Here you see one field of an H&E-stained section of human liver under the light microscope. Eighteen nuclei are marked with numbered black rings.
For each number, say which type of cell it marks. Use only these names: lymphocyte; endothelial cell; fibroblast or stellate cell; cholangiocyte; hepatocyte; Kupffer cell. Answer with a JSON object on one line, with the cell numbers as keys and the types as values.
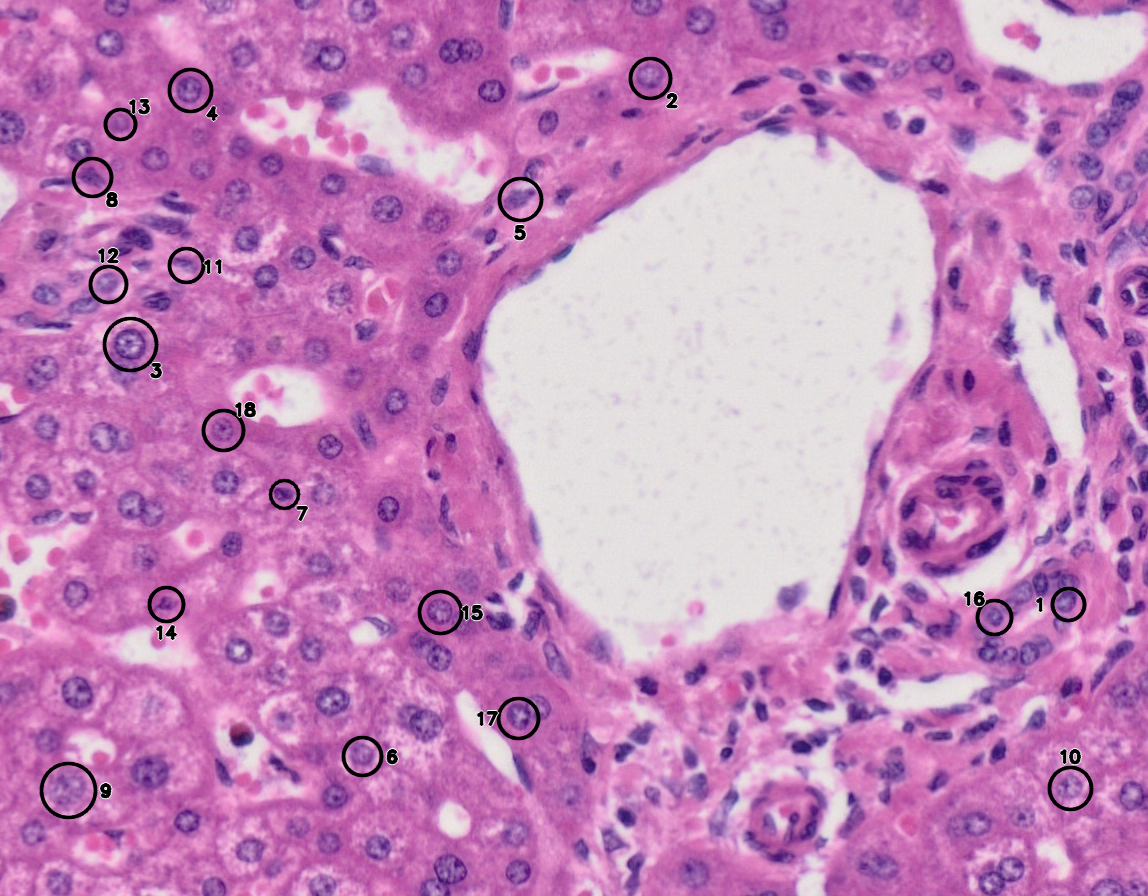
{"1": "cholangiocyte", "2": "hepatocyte", "3": "hepatocyte", "4": "hepatocyte", "5": "fibroblast or stellate cell", "6": "hepatocyte", "7": "fibroblast or stellate cell", "8": "fibroblast or stellate cell", "9": "hepatocyte", "10": "hepatocyte", "11": "fibroblast or stellate cell", "12": "cholangiocyte", "13": "hepatocyte", "14": "fibroblast or stellate cell", "15": "hepatocyte", "16": "cholangiocyte", "17": "hepatocyte", "18": "hepatocyte"}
